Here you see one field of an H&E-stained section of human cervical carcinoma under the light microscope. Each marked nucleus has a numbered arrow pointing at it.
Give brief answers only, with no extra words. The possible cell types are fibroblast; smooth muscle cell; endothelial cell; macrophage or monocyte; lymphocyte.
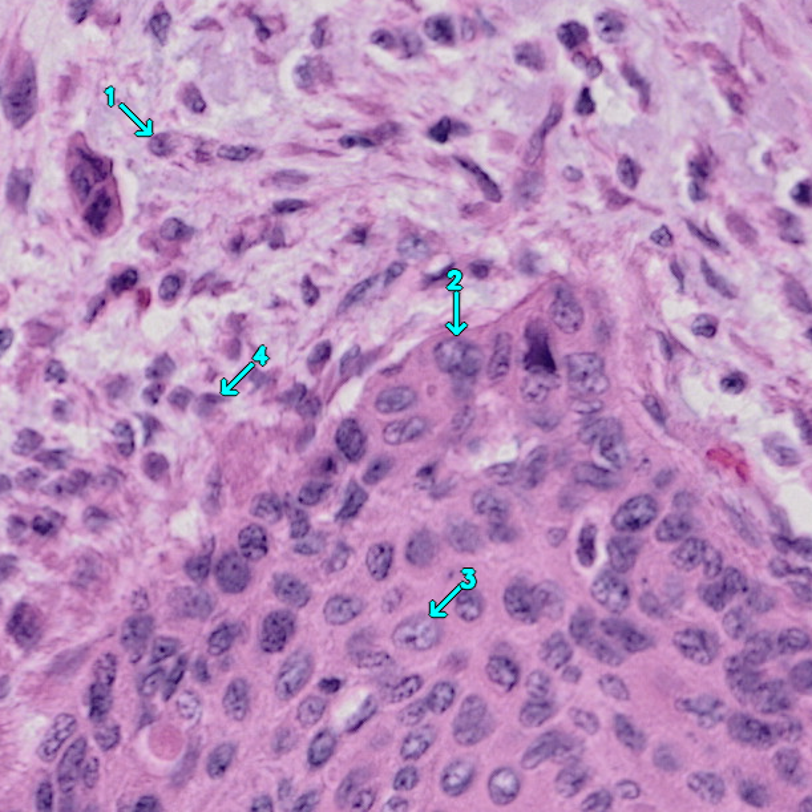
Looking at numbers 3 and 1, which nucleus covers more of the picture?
3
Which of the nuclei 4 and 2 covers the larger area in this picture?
2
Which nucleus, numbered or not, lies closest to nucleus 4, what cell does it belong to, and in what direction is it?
a fibroblast, to the left of nucleus 4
